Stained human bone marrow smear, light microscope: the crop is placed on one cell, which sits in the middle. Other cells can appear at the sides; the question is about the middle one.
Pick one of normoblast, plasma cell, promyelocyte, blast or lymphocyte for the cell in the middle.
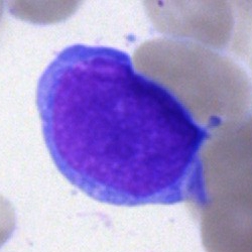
blast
